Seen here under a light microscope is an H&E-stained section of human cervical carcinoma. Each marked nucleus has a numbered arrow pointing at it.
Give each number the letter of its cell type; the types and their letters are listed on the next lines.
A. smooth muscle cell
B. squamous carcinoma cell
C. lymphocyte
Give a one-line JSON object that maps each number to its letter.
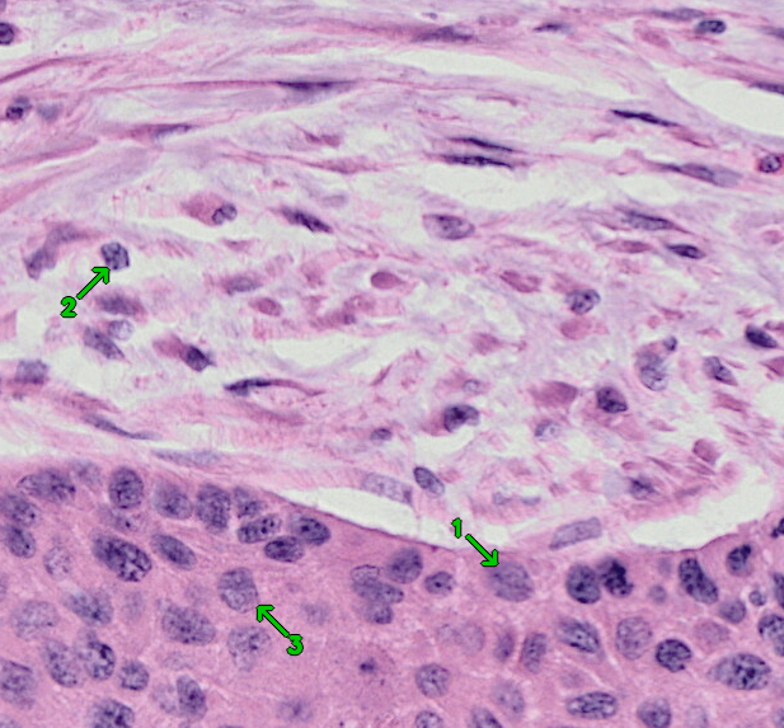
{"1": "B", "2": "C", "3": "B"}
